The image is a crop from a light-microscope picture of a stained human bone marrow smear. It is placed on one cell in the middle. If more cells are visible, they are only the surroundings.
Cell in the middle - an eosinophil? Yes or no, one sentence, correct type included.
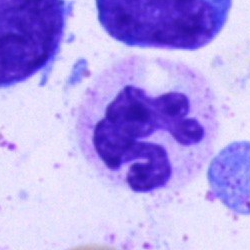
No, the centre cell is not an eosinophil but a segmented neutrophil.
